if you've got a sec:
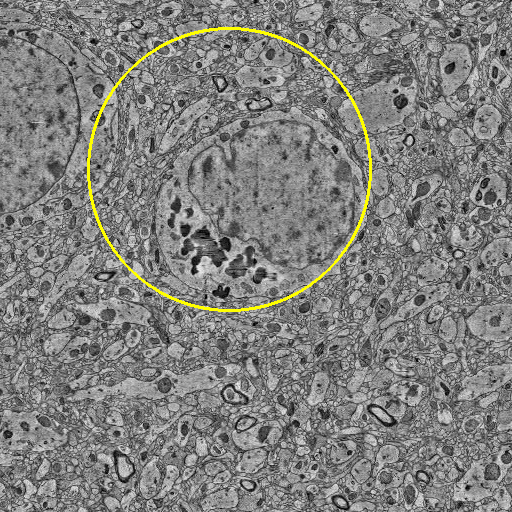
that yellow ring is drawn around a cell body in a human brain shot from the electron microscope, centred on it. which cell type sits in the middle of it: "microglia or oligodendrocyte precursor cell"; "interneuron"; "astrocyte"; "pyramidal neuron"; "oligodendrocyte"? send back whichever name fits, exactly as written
interneuron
